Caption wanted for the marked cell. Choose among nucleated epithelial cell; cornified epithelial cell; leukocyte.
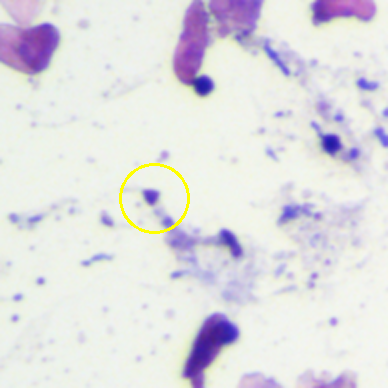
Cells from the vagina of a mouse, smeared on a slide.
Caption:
Ringed in yellow is a leukocyte.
